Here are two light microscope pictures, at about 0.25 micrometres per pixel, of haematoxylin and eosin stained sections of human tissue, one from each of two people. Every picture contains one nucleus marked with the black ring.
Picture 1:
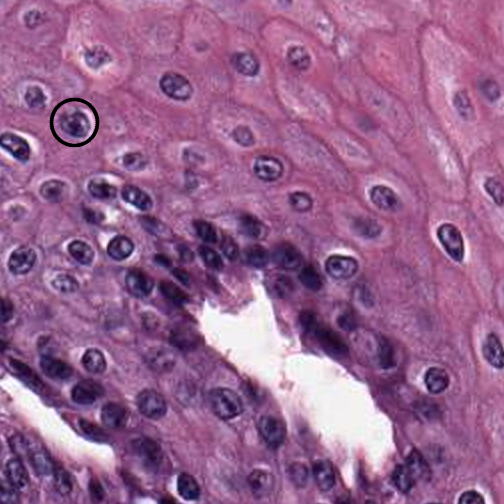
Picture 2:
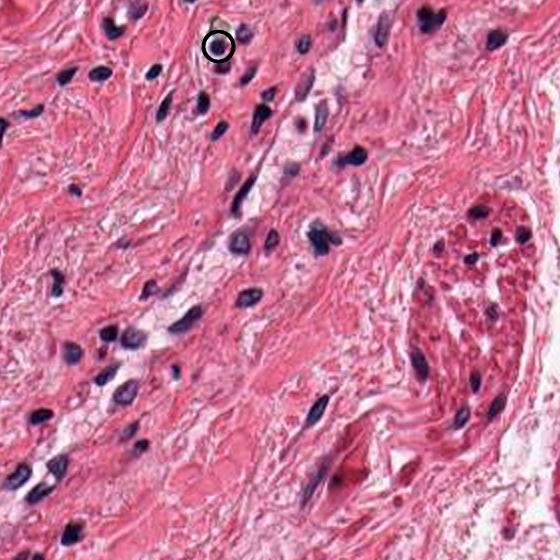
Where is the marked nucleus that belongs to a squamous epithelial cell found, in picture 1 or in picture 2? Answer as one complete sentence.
What the marked nucleus in picture 1 belongs to is a squamous epithelial cell.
